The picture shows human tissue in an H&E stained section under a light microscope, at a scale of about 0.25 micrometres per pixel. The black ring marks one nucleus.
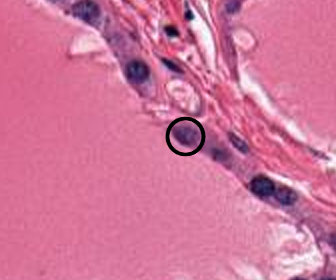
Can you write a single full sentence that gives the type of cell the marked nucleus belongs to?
In this section, the marked nucleus is that of a thyroid follicular cell.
